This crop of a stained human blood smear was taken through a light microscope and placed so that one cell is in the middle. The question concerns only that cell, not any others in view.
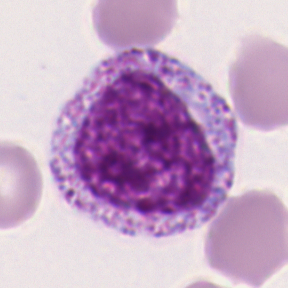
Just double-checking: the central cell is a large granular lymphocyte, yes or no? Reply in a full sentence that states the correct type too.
No, the central cell should be identified as a myelocyte, not as a large granular lymphocyte.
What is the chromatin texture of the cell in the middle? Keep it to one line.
What stands out is chromatin that is coarsely clumped.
